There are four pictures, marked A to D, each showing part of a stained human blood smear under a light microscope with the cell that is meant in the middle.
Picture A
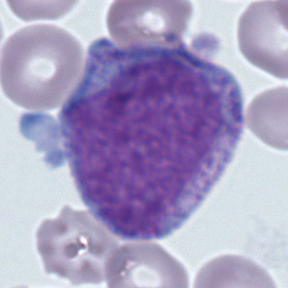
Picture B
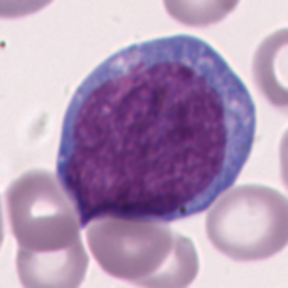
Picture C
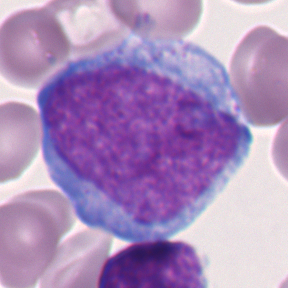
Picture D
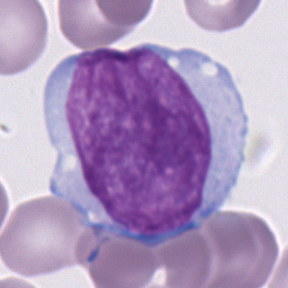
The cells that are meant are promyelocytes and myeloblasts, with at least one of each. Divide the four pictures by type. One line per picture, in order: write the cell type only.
promyelocyte
promyelocyte
promyelocyte
myeloblast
